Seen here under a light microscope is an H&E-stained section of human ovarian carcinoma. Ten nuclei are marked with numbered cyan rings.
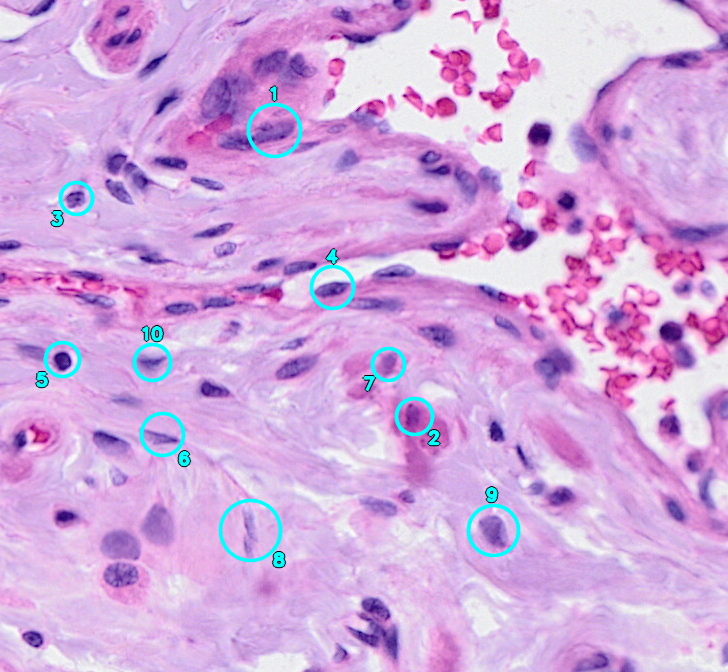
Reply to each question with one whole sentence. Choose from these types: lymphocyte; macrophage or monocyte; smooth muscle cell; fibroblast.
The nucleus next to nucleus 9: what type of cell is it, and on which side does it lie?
The nearest nucleus is that of a lymphocyte and lies above and to the right of nucleus 9.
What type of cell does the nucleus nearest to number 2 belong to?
The cell nearest to number 2 is a smooth muscle cell.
